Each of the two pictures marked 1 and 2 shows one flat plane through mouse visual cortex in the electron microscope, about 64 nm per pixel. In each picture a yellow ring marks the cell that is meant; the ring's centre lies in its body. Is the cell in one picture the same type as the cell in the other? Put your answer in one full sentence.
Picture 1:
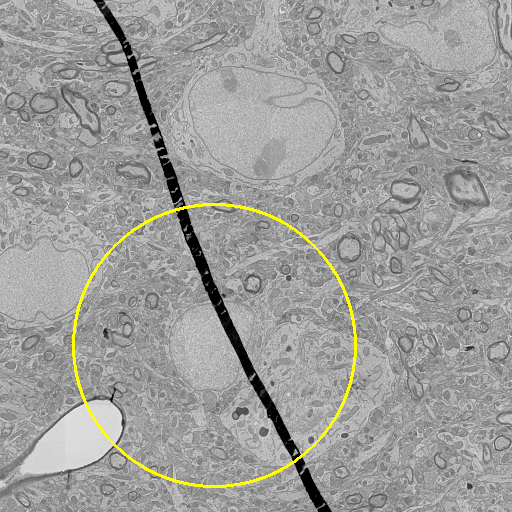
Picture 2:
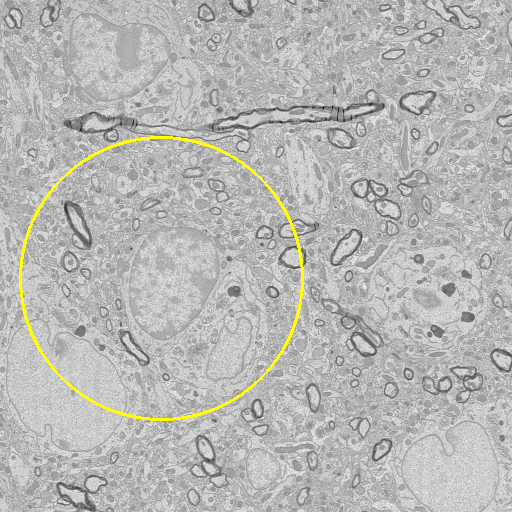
No, they differ: the cell is an astrocyte in picture 1 and an oligodendrocyte in picture 2.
